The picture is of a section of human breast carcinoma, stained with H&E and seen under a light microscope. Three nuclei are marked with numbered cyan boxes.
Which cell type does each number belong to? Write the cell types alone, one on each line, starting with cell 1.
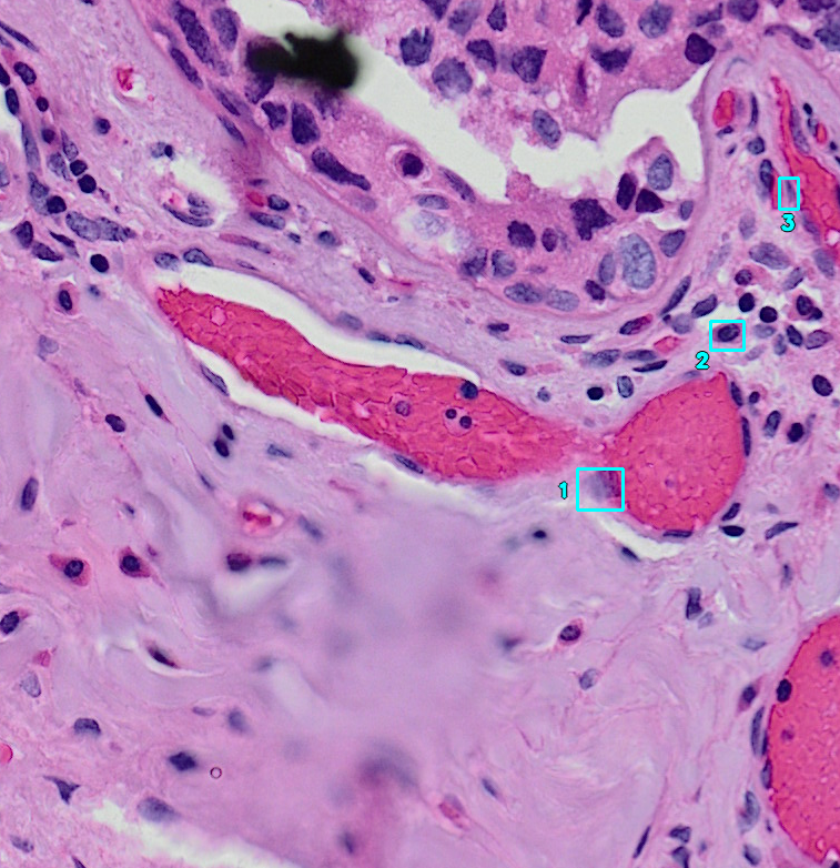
endothelial cell
mast cell
endothelial cell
